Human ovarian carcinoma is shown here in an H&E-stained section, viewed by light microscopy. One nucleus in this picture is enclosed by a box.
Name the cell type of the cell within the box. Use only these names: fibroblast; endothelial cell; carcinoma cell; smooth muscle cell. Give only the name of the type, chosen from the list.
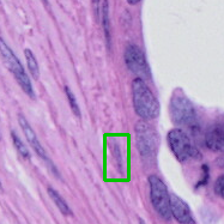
fibroblast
